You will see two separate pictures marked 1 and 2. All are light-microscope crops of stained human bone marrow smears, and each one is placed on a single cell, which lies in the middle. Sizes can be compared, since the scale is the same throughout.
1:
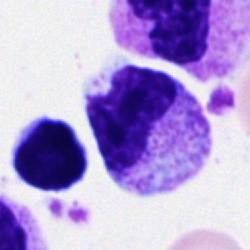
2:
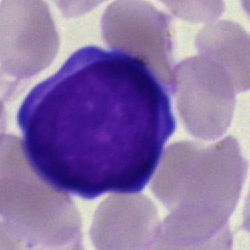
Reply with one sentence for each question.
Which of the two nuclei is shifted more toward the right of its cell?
It is the nucleus in picture 2 that lies further toward the right of its cell.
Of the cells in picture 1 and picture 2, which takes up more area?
Larger is the cell in picture 2, at roughly 1.5 times the area of the other.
